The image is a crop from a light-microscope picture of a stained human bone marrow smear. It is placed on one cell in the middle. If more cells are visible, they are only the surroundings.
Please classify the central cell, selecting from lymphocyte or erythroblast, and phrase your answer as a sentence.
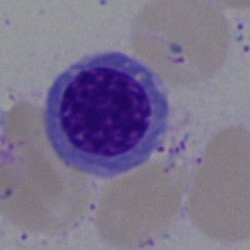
The cell centered in this field of view is an erythroblast.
